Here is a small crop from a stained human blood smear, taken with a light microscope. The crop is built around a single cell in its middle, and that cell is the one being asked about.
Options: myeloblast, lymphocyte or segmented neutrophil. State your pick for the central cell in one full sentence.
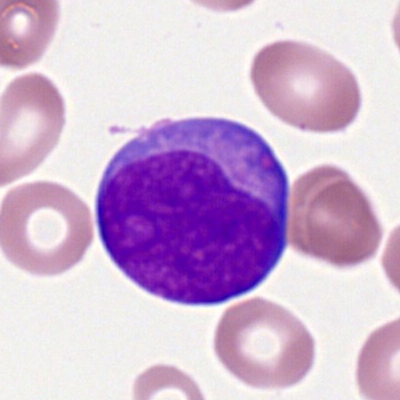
Regarding the central cell, it is a myeloblast.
